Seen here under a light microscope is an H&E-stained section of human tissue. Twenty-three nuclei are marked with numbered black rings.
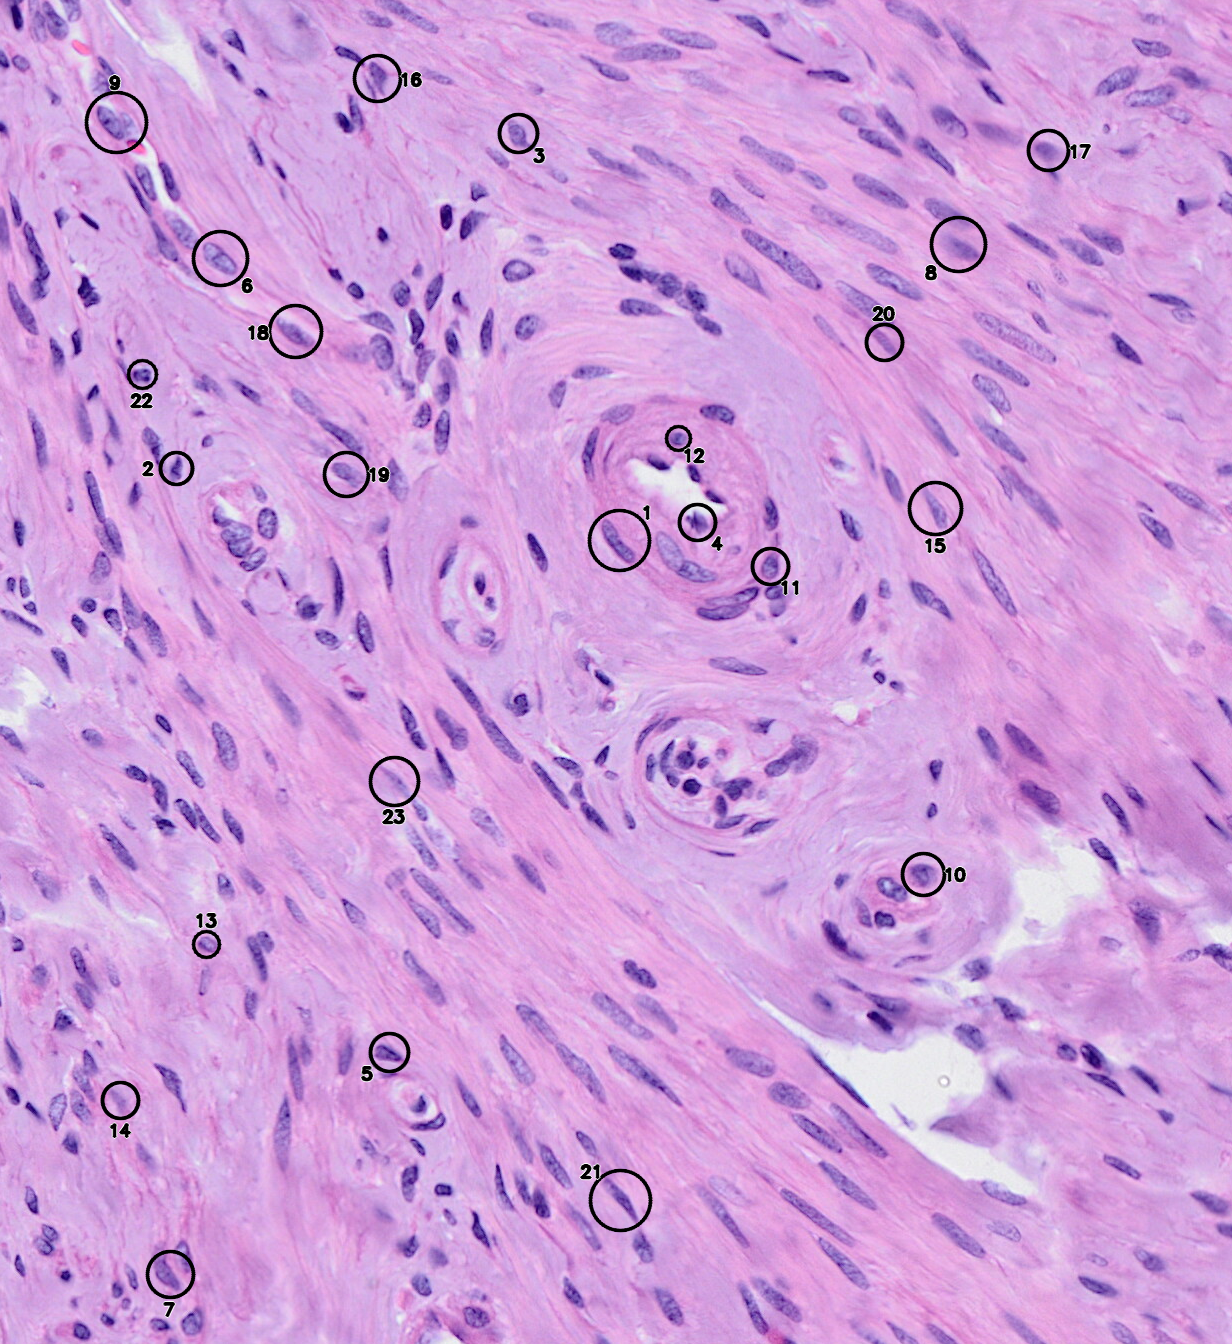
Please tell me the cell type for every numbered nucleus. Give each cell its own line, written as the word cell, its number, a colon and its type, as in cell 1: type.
cell 1: smooth muscle cell
cell 2: fibroblast
cell 3: fibroblast
cell 4: endothelial cell
cell 5: fibroblast
cell 6: endothelial cell
cell 7: smooth muscle cell
cell 8: fibroblast
cell 9: endothelial cell
cell 10: endothelial cell
cell 11: smooth muscle cell
cell 12: smooth muscle cell
cell 13: smooth muscle cell
cell 14: smooth muscle cell
cell 15: smooth muscle cell
cell 16: fibroblast
cell 17: fibroblast
cell 18: endothelial cell
cell 19: smooth muscle cell
cell 20: smooth muscle cell
cell 21: fibroblast
cell 22: fibroblast
cell 23: fibroblast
